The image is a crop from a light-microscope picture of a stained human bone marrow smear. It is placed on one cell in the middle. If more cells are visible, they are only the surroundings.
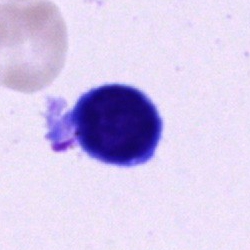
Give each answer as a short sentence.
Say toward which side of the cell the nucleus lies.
The nucleus is pushed toward the right of the cell.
